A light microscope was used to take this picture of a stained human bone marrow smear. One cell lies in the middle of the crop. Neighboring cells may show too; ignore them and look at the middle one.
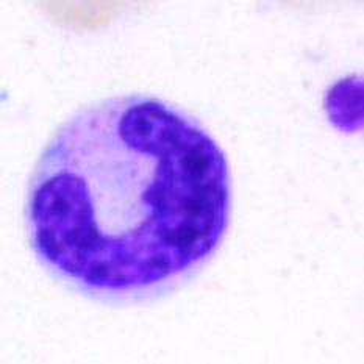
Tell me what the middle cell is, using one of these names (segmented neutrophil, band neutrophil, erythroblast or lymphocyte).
band neutrophil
